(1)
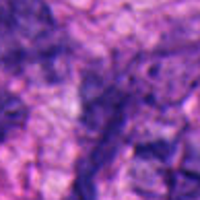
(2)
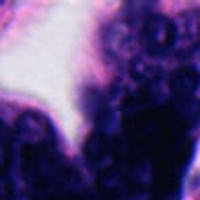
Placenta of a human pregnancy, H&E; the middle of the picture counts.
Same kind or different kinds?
Different: the first is a vascular myocyte, the second a syncytial knot.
